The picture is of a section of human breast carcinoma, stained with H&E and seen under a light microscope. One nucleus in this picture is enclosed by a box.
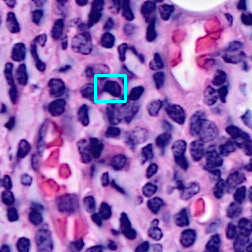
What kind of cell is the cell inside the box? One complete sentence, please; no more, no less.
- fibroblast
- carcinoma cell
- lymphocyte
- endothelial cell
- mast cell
As to its cell type, the cell inside the box is a lymphocyte.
